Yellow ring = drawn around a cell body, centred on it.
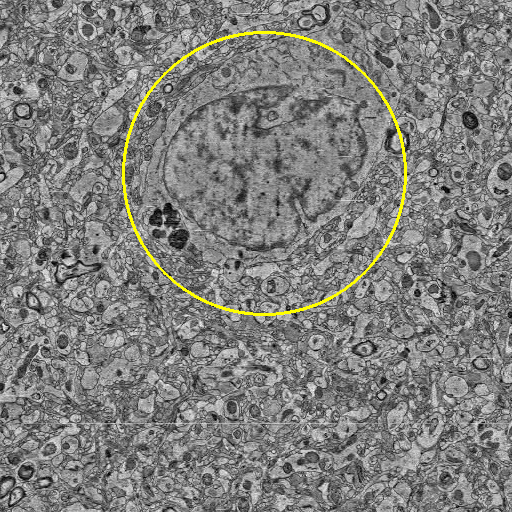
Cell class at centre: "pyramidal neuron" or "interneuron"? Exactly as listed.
interneuron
